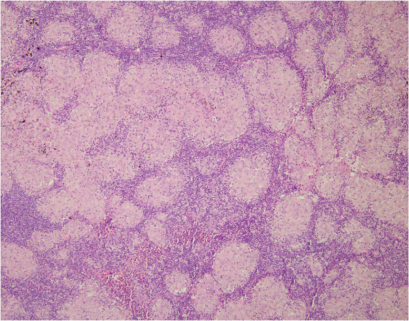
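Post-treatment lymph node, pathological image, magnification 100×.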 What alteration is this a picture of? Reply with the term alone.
non-caseating granulomas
